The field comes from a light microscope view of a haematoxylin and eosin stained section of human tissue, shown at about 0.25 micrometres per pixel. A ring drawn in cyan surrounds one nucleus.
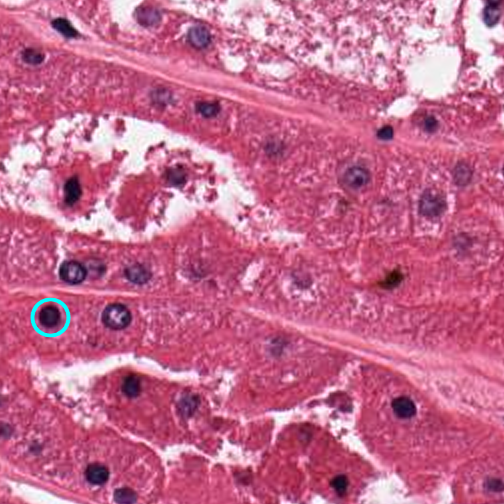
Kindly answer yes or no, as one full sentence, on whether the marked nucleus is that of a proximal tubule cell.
Yes, the nucleus shown with the mark belongs to a proximal tubule cell.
